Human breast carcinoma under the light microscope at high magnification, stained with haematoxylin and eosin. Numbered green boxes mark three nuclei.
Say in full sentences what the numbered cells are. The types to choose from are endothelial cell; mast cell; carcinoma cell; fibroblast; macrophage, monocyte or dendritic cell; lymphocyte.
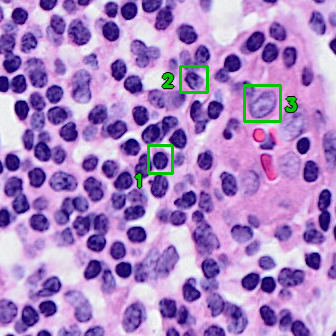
Cells 1 and 2 are lymphocytes. Cell 3 is an endothelial cell.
